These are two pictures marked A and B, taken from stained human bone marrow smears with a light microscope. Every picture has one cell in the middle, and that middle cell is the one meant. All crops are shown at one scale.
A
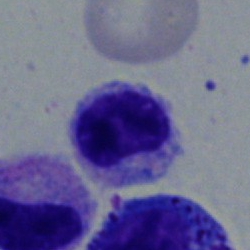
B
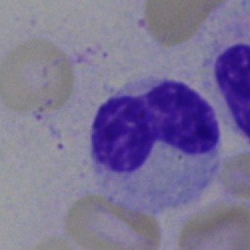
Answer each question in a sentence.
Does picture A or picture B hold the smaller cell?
Smaller is the cell in picture A, and the other is about 1.5 times as large in area.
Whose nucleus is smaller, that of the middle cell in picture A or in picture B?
The nucleus in picture A is smaller; the one in picture B has about 1.5 times its area.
